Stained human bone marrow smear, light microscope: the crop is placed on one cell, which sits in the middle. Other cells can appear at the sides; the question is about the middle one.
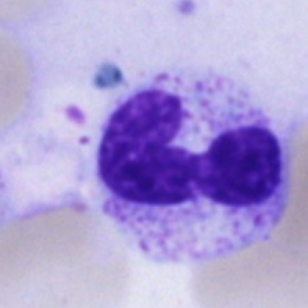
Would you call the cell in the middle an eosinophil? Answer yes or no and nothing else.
no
